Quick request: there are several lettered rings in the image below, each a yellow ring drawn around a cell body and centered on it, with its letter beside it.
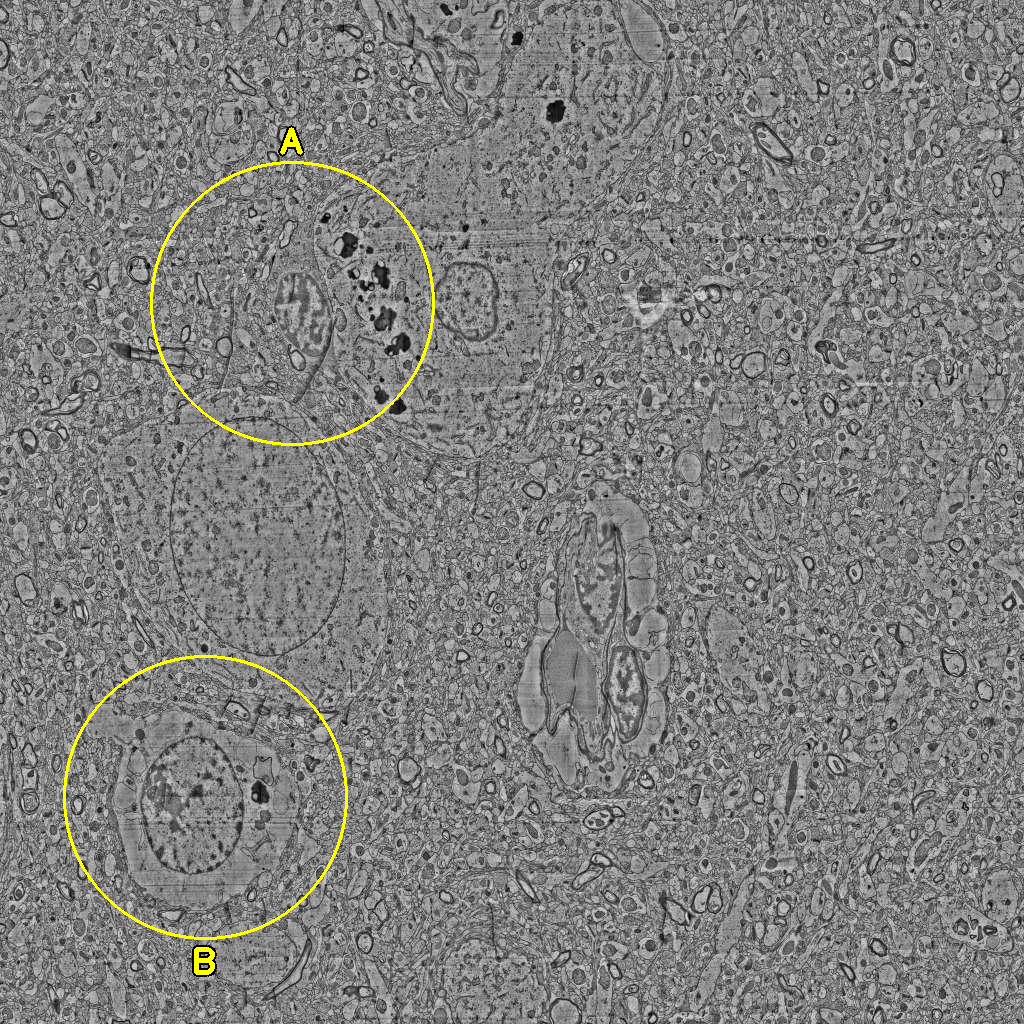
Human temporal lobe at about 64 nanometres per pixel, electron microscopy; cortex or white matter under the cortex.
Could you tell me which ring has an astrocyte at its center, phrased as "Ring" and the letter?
Ring B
